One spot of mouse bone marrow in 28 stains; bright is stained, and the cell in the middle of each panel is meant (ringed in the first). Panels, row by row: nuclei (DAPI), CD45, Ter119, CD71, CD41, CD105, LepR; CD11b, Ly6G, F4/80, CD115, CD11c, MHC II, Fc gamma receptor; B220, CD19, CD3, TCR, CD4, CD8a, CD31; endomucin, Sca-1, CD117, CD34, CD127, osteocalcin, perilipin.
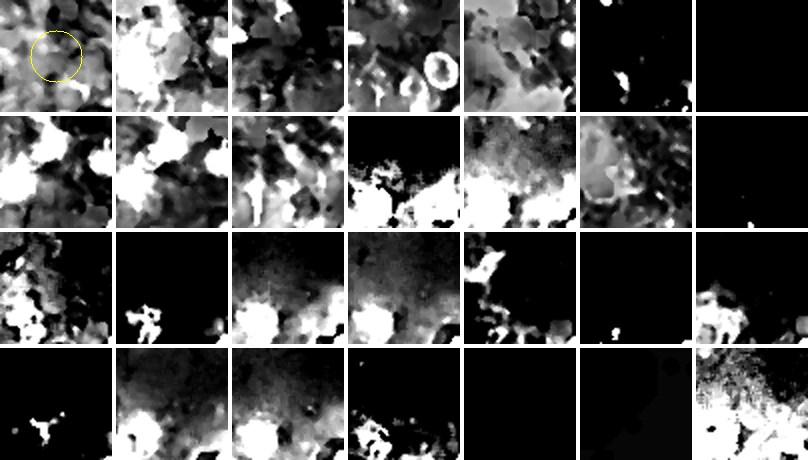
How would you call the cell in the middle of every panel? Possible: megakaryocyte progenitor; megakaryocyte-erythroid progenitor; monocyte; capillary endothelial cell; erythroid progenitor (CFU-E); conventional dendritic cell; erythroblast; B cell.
I would call it a megakaryocyte progenitor.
